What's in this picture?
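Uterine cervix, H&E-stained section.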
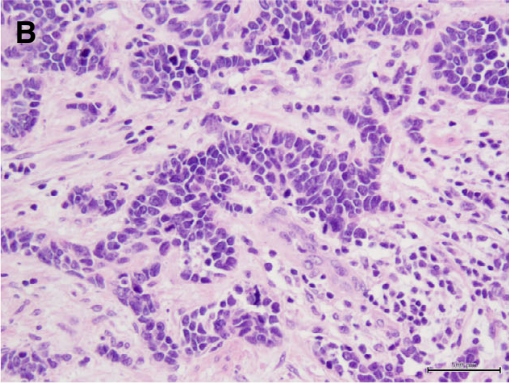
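This is a malignant tumor of small cells infiltrating the stroma, arranged in nests, cords and trabeculae. The tumor cells are small and crowded, with very scant cytoplasm, so that the dark purple nuclei nearly touch and press against one another. Between the tumor nests lies pale pink fibrous stroma containing scattered spindle-shaped stromal cells.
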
